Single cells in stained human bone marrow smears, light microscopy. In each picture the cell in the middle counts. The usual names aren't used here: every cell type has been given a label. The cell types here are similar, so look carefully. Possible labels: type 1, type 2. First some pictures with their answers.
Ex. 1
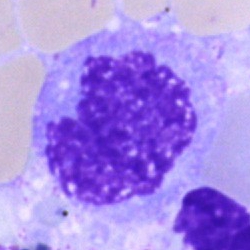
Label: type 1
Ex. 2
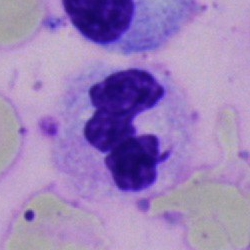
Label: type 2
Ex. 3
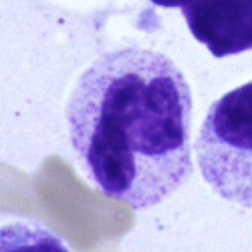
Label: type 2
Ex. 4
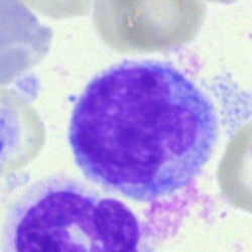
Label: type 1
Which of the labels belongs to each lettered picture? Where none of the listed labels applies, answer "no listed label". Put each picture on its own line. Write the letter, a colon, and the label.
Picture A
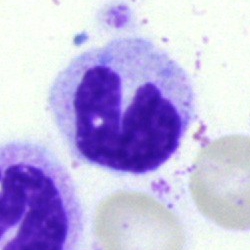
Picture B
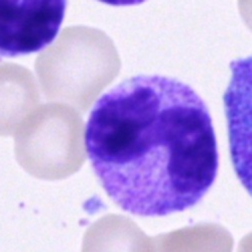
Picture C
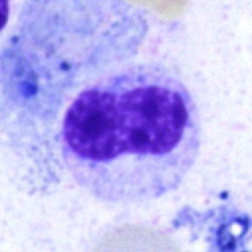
A: no listed label
B: type 2
C: no listed label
